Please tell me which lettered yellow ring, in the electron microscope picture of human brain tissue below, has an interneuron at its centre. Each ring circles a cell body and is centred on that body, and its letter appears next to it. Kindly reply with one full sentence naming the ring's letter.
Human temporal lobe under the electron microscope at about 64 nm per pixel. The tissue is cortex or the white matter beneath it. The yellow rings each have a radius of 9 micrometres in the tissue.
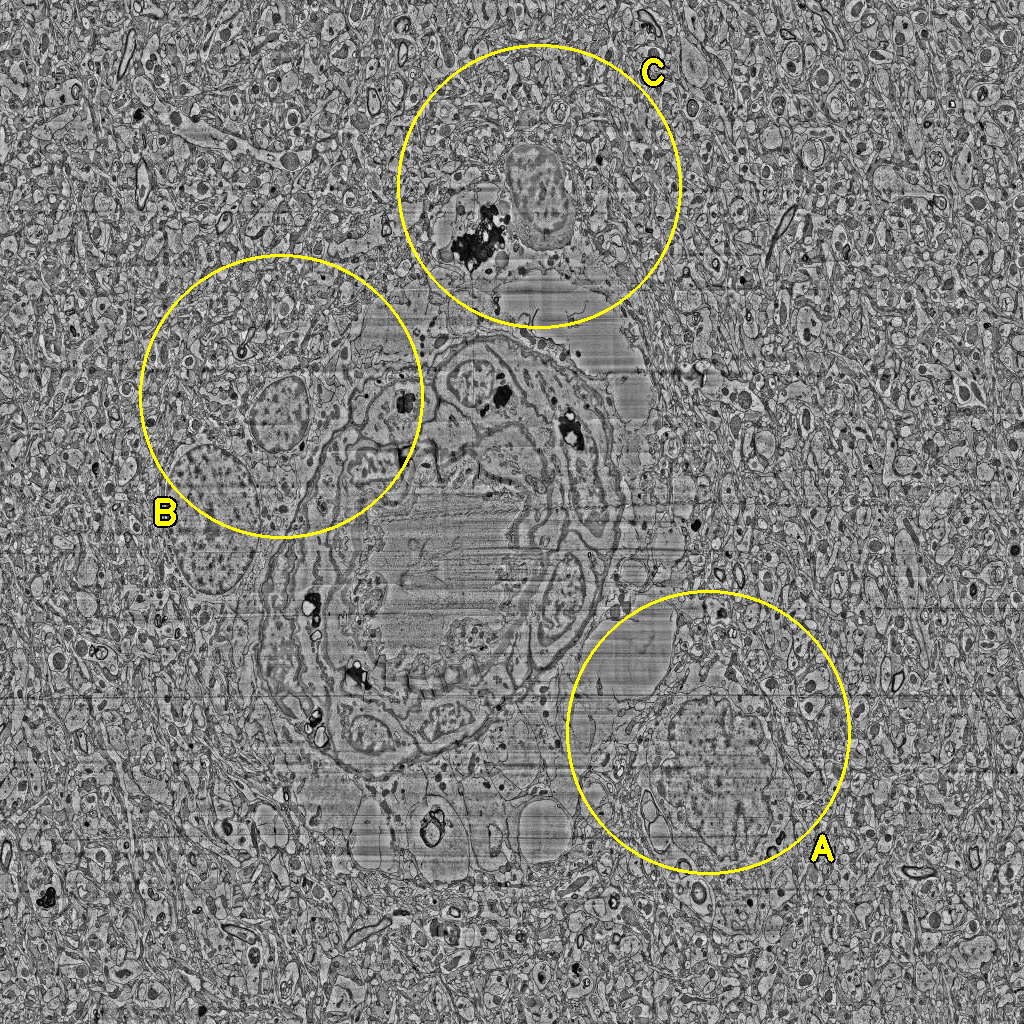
Ring A has the cell asked for at its centre.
